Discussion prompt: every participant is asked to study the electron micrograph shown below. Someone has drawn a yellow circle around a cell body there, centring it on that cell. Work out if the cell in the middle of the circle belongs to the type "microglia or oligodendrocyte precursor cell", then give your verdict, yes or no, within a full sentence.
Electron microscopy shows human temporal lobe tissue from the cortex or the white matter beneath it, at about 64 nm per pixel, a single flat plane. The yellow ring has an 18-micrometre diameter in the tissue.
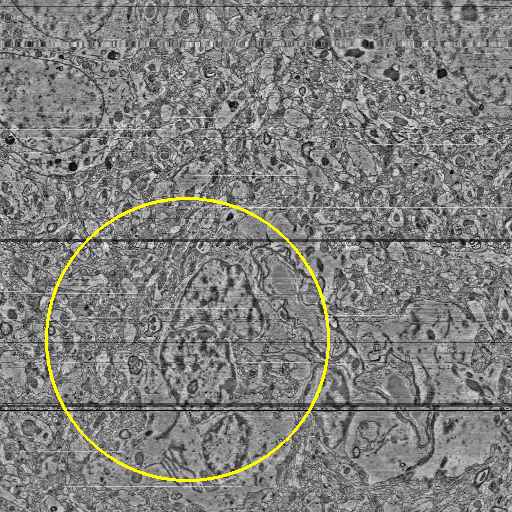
Yes, my verdict is that the cell in the circle's centre is of that type.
